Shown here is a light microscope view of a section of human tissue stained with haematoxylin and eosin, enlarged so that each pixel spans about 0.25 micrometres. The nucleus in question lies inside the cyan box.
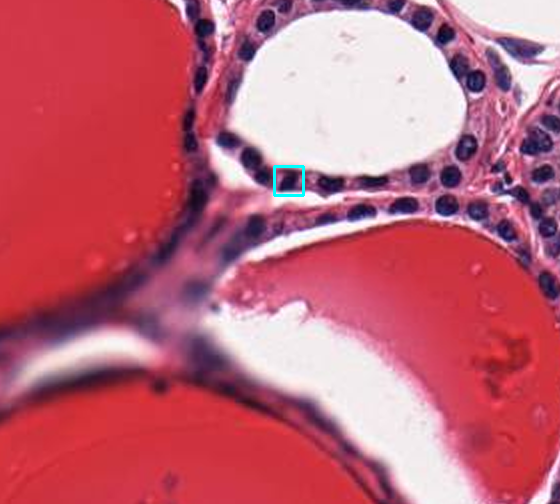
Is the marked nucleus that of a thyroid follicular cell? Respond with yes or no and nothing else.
yes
